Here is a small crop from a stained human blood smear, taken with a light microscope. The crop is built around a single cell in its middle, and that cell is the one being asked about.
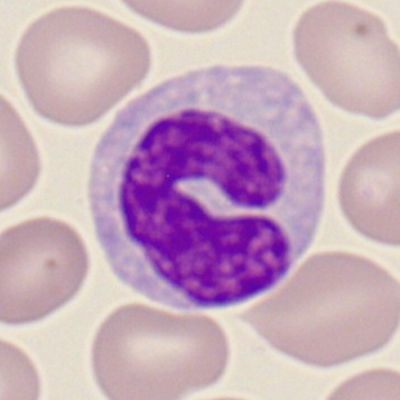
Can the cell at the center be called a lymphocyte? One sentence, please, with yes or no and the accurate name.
No, what occupies the middle of the crop is a monocyte and not a lymphocyte.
